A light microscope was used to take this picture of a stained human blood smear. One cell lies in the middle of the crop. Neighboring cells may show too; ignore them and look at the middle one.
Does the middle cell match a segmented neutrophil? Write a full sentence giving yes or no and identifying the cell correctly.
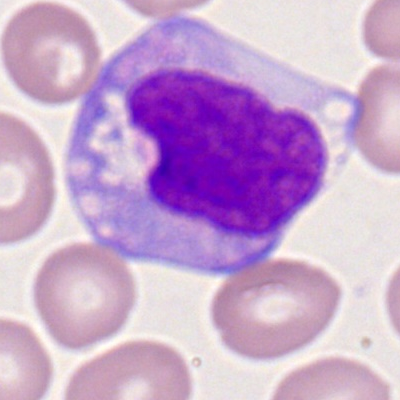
No, the central cell is designated a monocyte and not a segmented neutrophil.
